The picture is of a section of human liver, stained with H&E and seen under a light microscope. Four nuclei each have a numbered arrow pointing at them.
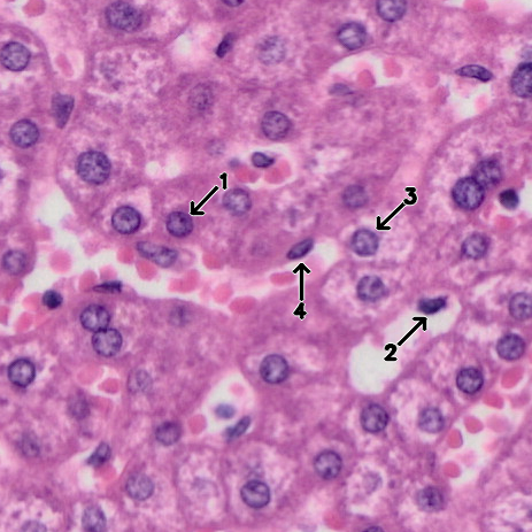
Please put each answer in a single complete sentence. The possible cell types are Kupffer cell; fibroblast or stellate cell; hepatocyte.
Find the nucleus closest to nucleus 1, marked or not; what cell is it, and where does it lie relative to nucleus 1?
Lying below and to the left of nucleus 1, the nearest nucleus is that of a Kupffer cell.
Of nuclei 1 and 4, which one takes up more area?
The larger nucleus is 1, at roughly 1.5 times the area of 4.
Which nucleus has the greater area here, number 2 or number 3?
Of the two, number 3 is bigger and takes up about 1.5 times the area of number 2.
